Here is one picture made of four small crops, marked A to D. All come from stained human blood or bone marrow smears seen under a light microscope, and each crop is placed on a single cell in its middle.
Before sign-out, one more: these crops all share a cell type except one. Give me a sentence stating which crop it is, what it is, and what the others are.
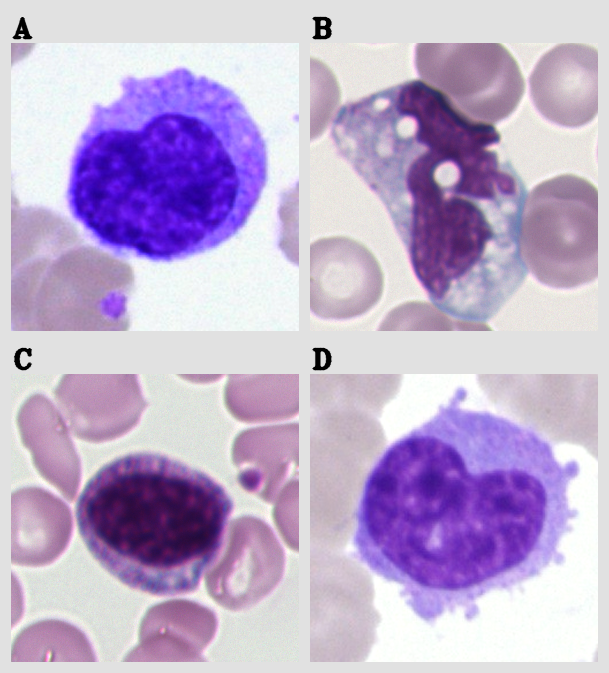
Only one crop differs, namely crop C, which is a metamyelocyte; the others show monocytes.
